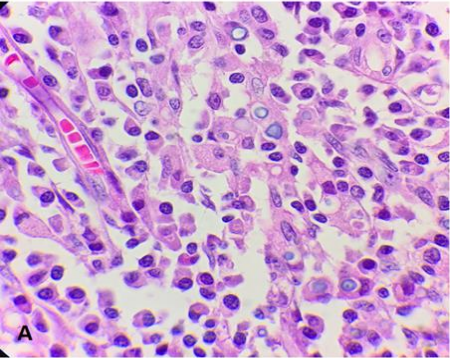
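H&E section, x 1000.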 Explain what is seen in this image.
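Cells with abundant pale pink cytoplasm and round to oval, darkly staining nuclei lie in loose sheets, some clustered around a thin vessel with red blood cells at the upper left. Within the cytoplasm of several cells are round, bluish-grey inclusions, some with a darker rim or a concentric, target-like appearance, set beside the nucleus. The cells vary somewhat in shape, from polygonal to elongated, and clear spaces separate many of them. Nuclei are mostly single and eccentric, with smooth outlines and dense chromatin.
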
